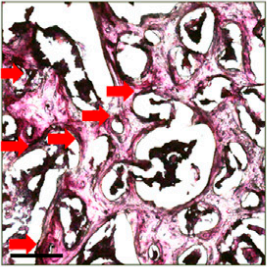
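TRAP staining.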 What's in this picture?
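Bone with a meshwork of trabeculae surrounding rounded cavities, with magenta-red stained osteoclast-like cells along the trabecular surfaces. The red staining is broad and concentrated at the margins where bone borders the cavities. Many cavities contain dark brown-black clumped material.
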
